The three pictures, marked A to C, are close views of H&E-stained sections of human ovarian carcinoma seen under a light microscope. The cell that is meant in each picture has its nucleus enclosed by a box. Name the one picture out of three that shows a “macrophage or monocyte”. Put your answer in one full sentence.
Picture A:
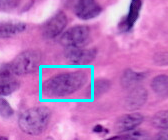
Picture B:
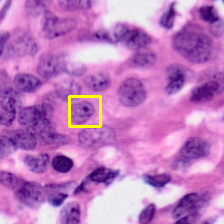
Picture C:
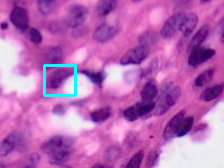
The “macrophage or monocyte” is the one in picture B.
